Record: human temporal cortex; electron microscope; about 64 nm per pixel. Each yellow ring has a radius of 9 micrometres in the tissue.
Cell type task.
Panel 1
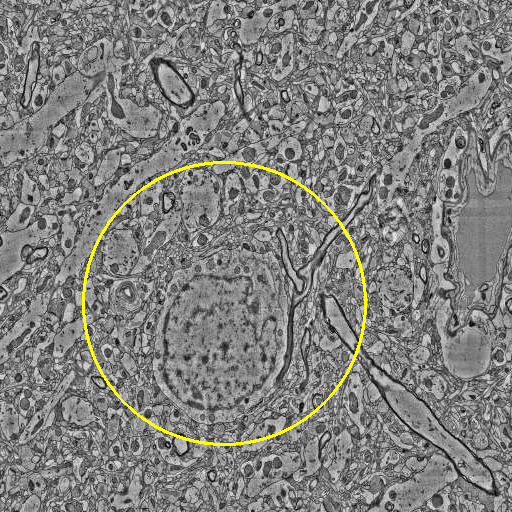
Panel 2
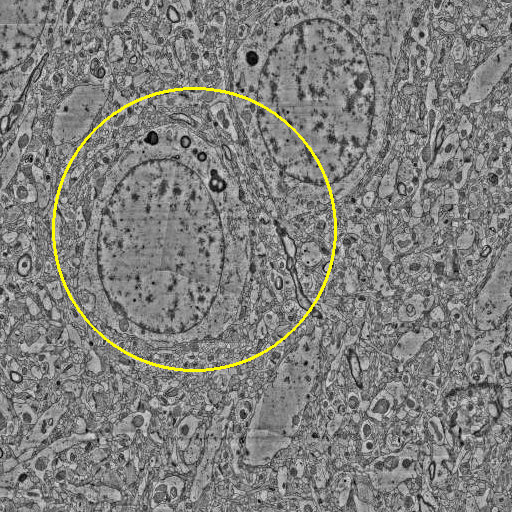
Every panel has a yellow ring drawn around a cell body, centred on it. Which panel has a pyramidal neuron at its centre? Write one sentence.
It sits at the centre of the ring in Panel 2.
